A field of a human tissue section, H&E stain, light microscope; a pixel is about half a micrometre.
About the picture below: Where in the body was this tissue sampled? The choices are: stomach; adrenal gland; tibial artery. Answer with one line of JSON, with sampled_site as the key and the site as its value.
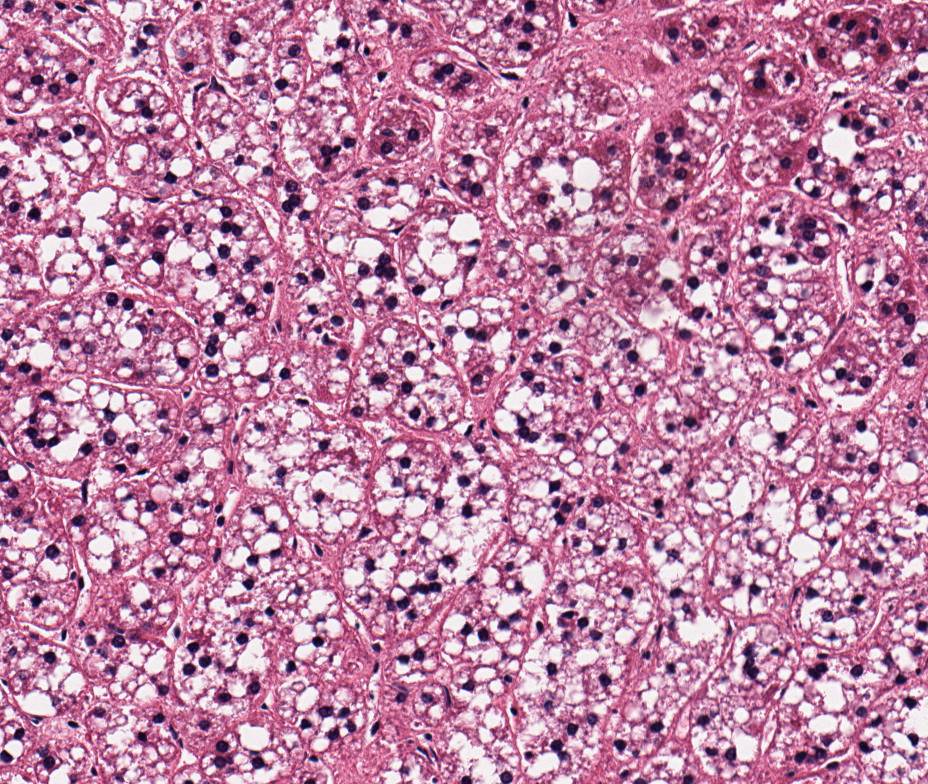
{"sampled_site": "adrenal gland"}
